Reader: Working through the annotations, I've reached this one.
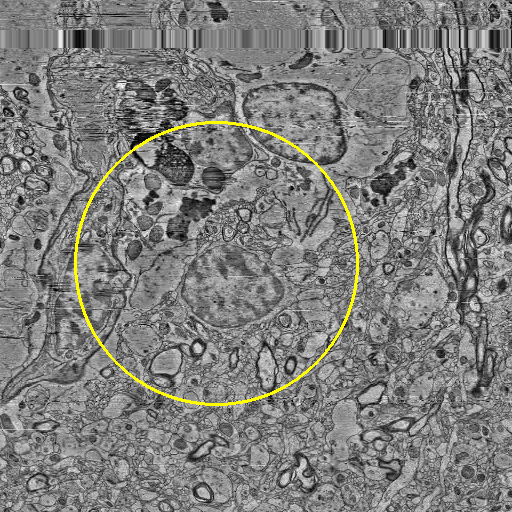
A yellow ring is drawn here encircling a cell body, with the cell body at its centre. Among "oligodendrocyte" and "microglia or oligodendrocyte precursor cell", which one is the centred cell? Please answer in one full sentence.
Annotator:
The cell body at the centre of the yellow ring in this image belongs to an oligodendrocyte.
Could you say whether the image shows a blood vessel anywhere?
Yes, there is one.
